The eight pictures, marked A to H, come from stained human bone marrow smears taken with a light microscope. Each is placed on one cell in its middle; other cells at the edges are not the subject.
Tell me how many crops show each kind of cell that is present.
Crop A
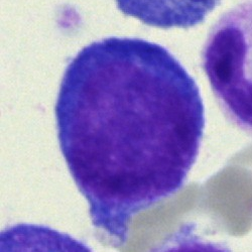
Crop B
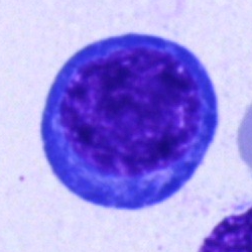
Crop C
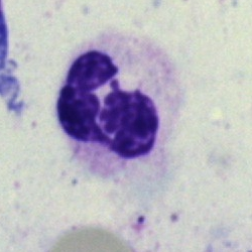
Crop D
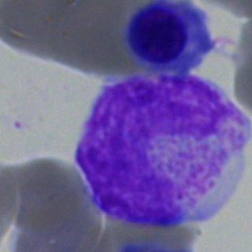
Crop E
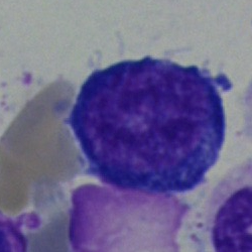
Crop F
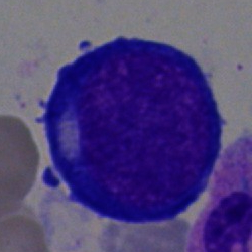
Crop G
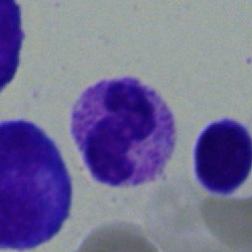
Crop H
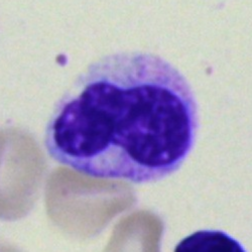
proerythroblast: 4
segmented neutrophil: 2
band neutrophil: 2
